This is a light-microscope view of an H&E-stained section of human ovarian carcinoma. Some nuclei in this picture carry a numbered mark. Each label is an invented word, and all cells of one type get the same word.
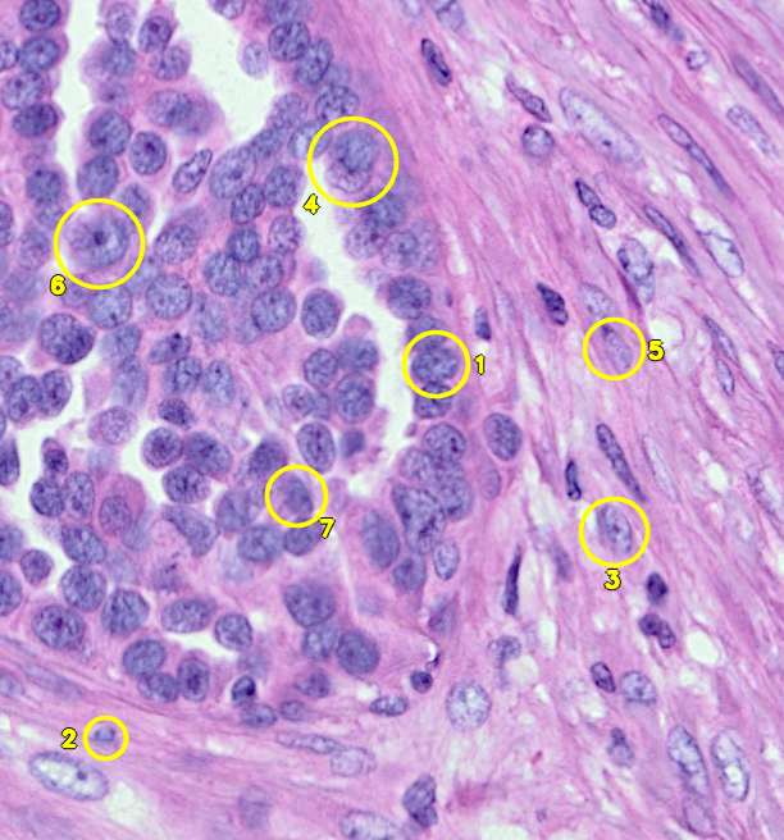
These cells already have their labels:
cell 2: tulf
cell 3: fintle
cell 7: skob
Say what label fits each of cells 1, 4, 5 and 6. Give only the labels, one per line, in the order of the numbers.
skob
skob
fintle
skob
